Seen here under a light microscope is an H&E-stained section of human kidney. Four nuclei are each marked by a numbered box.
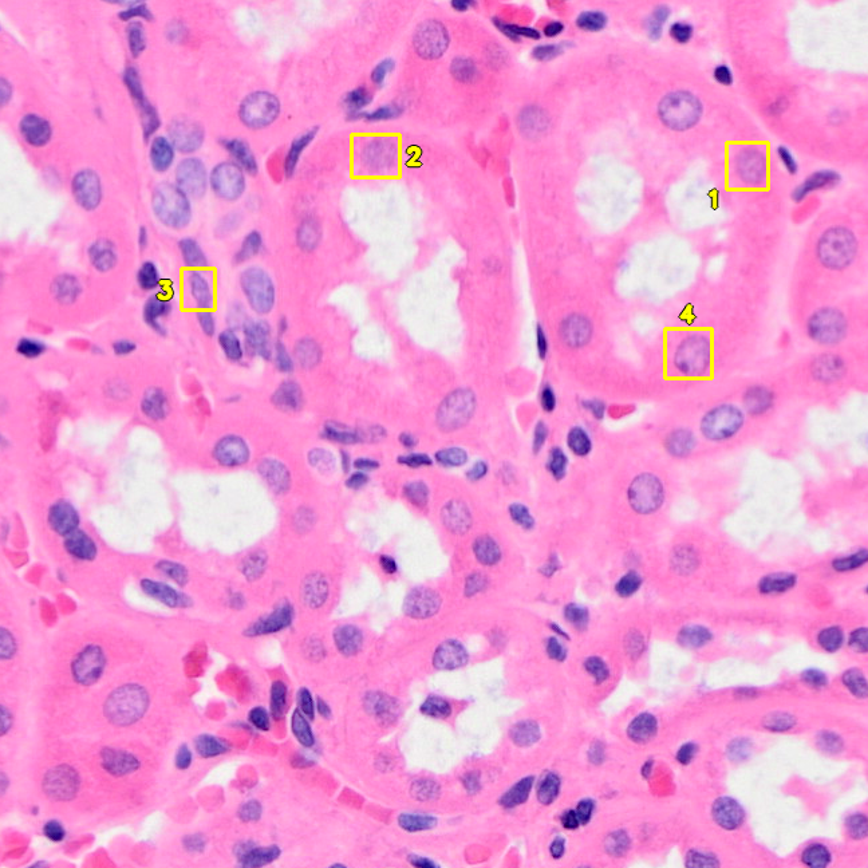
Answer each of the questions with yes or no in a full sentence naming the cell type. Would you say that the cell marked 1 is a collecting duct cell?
No, cell 1 is not a collecting duct cell; a proximal tubule cell is correct.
